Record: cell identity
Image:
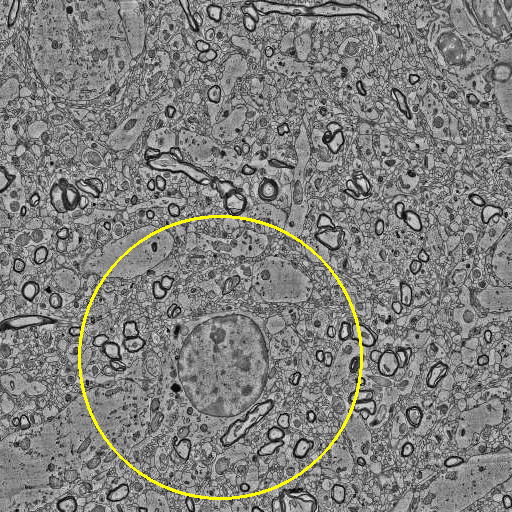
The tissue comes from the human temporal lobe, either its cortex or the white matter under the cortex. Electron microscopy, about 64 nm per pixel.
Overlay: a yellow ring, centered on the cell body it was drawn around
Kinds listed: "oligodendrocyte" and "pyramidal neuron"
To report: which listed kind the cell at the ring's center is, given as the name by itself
oligodendrocyte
